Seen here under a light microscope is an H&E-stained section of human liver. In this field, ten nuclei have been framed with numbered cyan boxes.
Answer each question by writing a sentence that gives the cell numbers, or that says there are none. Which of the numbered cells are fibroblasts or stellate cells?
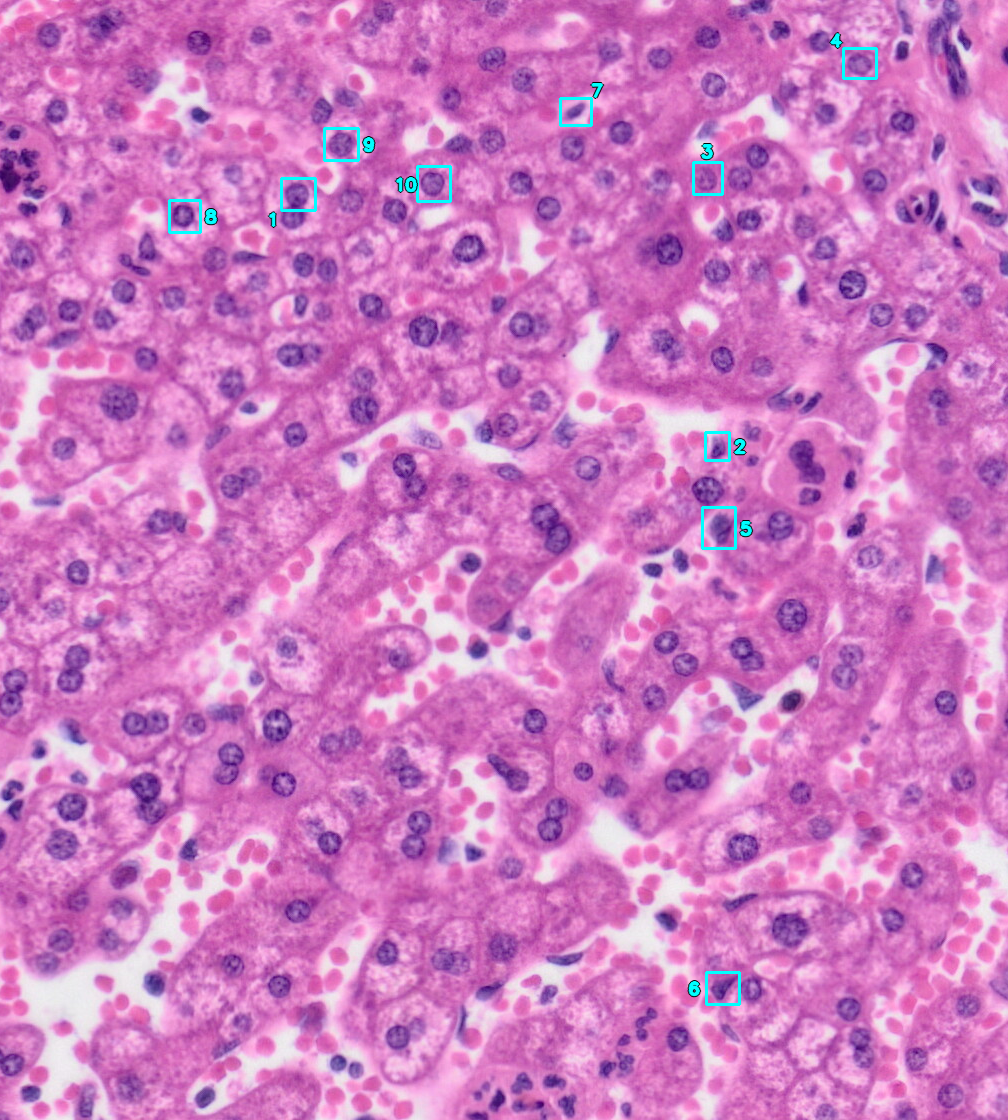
As for the cells numbered 2 and 6, they are fibroblasts or stellate cells.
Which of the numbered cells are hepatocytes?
Cells 1, 3, 4, 8, 9 and 10 in the section are typed as hepatocytes.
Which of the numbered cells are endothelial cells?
Cell 5 is an endothelial cell; every other numbered cell is something else.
